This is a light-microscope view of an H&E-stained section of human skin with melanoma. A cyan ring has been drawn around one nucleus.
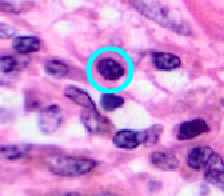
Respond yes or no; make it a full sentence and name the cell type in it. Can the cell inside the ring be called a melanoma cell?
No, mate, the cell inside the ring is a plasma cell rather than a melanoma cell.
